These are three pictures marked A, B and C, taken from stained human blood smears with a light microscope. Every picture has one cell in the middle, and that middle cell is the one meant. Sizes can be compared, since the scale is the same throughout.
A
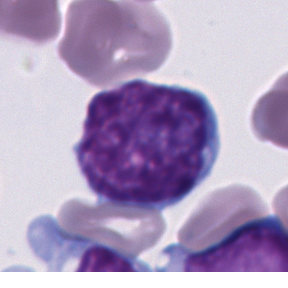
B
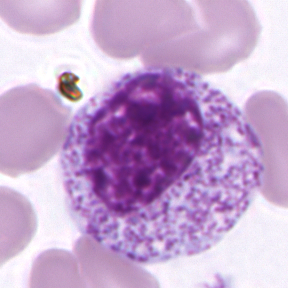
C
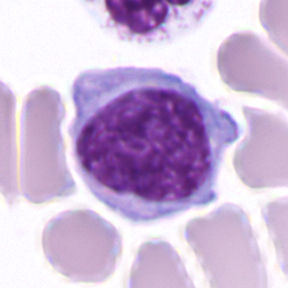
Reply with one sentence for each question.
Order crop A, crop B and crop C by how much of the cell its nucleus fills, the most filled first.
They run A, C, B, the most filled first.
